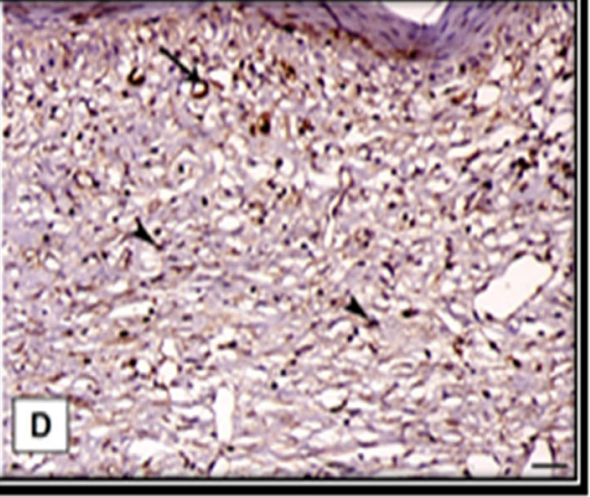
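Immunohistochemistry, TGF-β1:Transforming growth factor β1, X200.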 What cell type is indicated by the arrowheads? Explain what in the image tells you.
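Fibroblastic cells. Arrowheads point to elongated spindle-shaped cells in the stroma. These cells lie between vessels, not lining a lumen.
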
